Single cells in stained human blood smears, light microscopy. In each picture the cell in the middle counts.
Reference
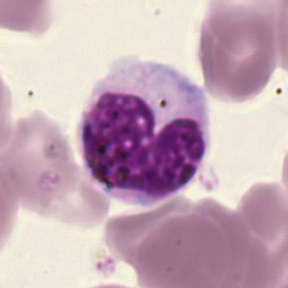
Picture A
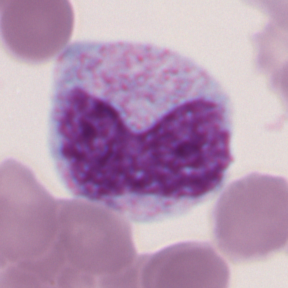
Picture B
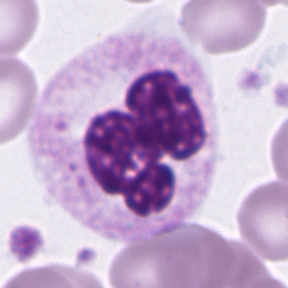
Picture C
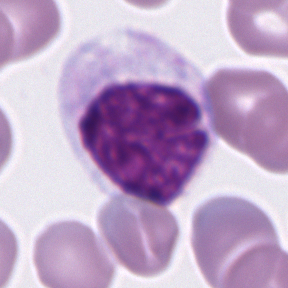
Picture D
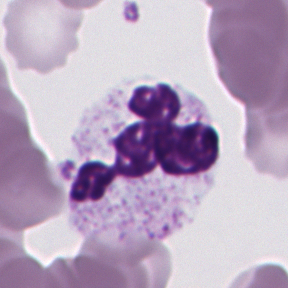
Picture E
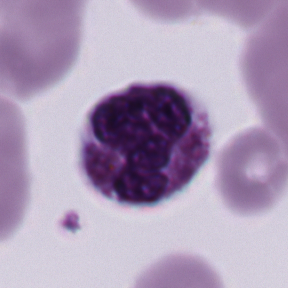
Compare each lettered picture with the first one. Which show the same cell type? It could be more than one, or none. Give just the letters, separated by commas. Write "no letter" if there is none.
A, C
